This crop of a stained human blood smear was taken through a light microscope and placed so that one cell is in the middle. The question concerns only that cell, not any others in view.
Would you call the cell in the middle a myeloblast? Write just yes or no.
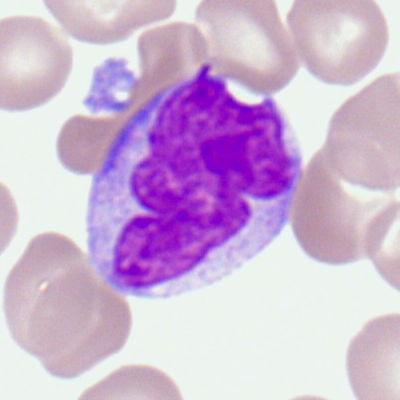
no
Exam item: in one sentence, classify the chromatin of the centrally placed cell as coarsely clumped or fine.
Heads up, the chromatin is fine with no coarse clumps in it.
